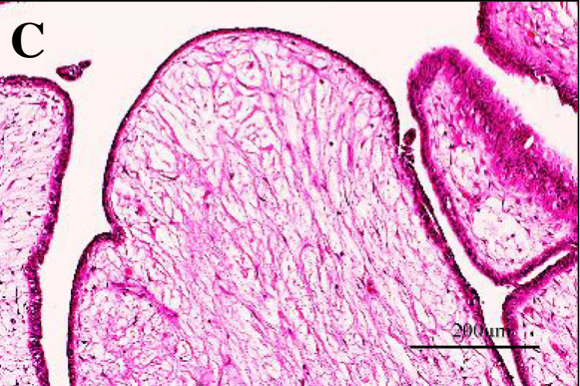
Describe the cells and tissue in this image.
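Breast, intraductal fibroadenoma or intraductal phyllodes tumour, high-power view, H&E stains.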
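Broad rounded fronds of loose, pale pink myxoid stroma project into a clear space, with neighbouring fronds pressed close alongside. The stroma is sparsely cellular, made of fine wispy fibres with scattered small, bland spindle or stellate nuclei and no crowding. Each frond is covered by a sharply defined dark band of epithelium formed of closely packed cells with dark nuclei, appearing as a thin layered lining that follows every curve of the surface. The epithelium looks uniform and orderly, and the contrast between the dense dark lining and the pale, airy stroma is striking.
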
